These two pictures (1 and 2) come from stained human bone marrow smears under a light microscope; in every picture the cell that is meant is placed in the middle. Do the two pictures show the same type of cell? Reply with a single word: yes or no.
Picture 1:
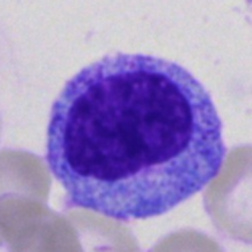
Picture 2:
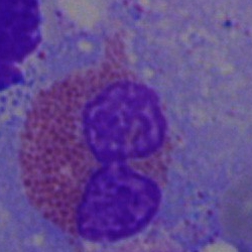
no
